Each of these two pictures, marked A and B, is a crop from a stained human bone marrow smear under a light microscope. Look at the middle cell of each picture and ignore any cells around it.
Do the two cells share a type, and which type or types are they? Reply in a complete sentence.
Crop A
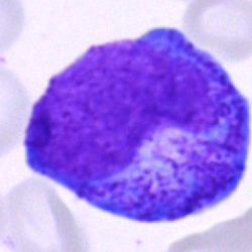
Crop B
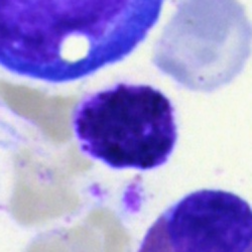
No, the correct reading is a promyelocyte in crop A and a basophil in crop B.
